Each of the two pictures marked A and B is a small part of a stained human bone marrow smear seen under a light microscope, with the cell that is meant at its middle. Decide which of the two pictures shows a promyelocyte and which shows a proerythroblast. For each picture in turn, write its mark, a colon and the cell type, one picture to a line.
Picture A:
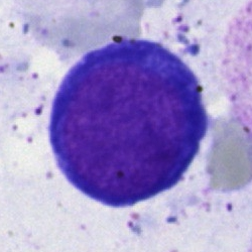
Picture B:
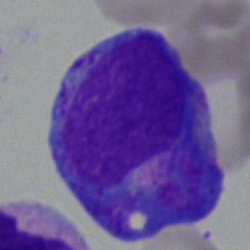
A: proerythroblast
B: promyelocyte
